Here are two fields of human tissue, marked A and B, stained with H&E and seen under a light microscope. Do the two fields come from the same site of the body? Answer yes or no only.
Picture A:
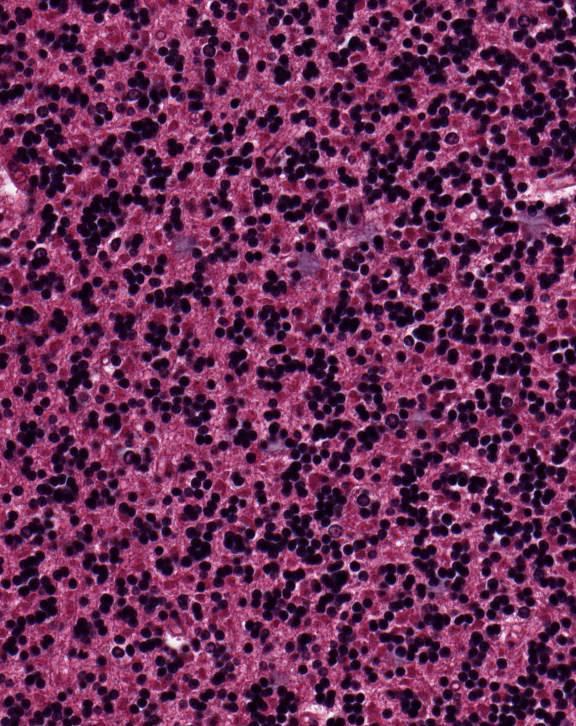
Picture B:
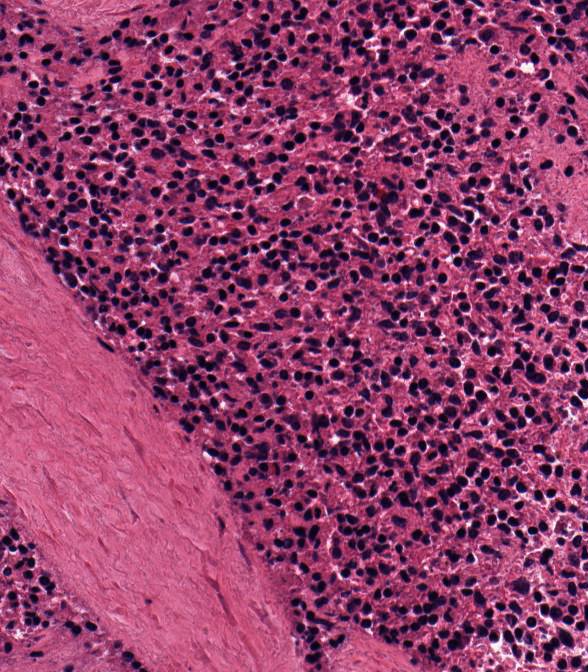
no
